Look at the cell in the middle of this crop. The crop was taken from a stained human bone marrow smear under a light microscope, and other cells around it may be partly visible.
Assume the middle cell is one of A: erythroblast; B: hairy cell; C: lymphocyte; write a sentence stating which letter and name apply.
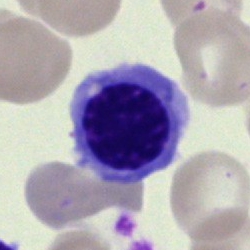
Option A, which names the central cell as an erythroblast, is correct.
